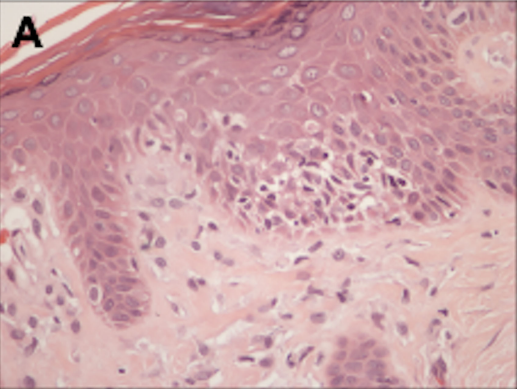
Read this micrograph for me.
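This is skin at high power showing atypical lymphocytes that have moved into the epidermis. In the lower epidermis, among polygonal keratinocytes with pink cytoplasm and round pale nuclei, sits a cluster of small cells with dark, irregular and somewhat elongated nuclei, each surrounded by a clear halo. A thin pink keratin layer caps the surface at the top left. Below, the dermis has pink collagen with scattered spindle and round nuclei, and rete ridges dip down into it.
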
